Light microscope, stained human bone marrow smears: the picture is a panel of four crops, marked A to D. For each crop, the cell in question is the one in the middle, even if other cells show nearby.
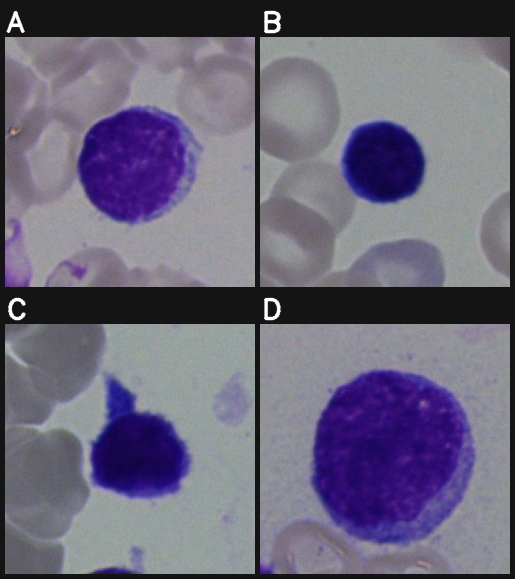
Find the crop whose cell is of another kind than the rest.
D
